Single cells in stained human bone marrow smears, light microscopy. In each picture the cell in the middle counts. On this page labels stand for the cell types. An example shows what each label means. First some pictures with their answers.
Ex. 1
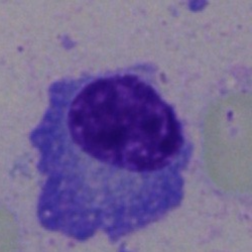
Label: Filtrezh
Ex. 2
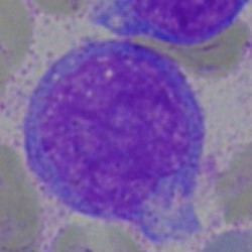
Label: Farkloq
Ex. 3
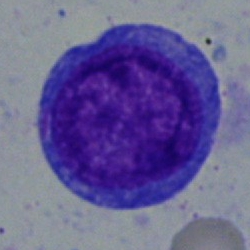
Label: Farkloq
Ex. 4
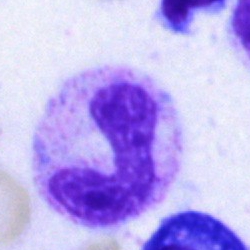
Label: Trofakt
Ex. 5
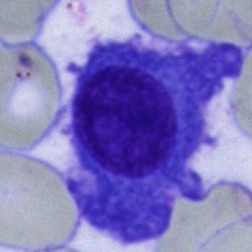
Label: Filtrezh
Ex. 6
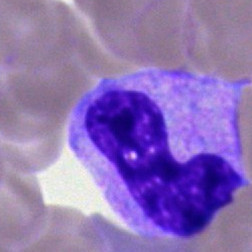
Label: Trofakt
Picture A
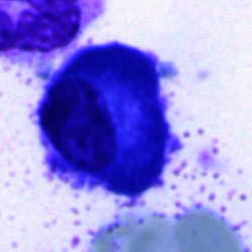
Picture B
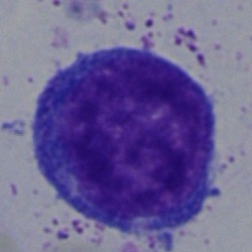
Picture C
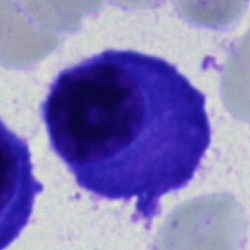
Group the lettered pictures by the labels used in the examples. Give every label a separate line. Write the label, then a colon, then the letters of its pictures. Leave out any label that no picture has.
Filtrezh: A, C
Farkloq: B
